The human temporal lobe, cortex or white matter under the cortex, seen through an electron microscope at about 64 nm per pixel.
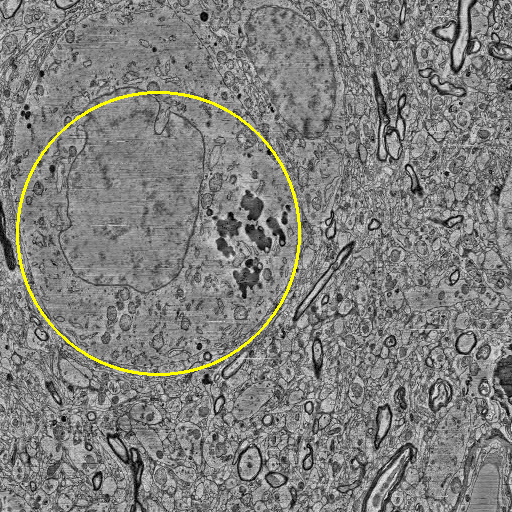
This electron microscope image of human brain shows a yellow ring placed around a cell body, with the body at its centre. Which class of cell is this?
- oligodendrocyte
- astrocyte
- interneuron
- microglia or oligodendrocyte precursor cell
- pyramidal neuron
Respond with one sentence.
The cell body at the ring's centre is a pyramidal neuron.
